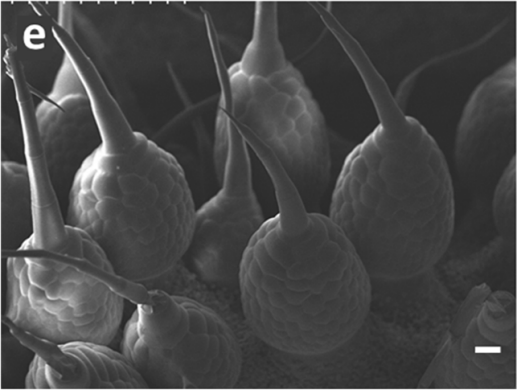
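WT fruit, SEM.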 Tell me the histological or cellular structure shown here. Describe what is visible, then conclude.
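Large projections with broad bulbous bases. Bases are covered with many polygonal cells. Each base tapers into a long slender pointed tip. On this evidence: spines.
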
